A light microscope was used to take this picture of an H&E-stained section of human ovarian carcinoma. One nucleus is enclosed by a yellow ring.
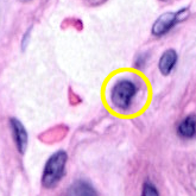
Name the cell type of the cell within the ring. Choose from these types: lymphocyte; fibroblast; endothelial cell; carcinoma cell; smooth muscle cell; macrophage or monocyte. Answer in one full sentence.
At the level of cell identity, the cell within the ring is an endothelial cell.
